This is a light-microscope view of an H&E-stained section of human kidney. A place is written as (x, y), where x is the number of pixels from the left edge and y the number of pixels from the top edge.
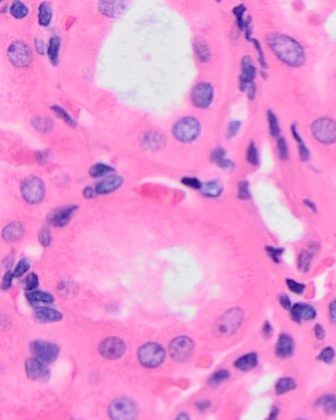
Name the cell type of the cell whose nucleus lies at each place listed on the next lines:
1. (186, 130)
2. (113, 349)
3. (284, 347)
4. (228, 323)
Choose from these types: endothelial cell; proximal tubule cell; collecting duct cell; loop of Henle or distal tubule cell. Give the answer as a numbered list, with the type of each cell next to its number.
1. loop of Henle or distal tubule cell
2. proximal tubule cell
3. collecting duct cell
4. proximal tubule cell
